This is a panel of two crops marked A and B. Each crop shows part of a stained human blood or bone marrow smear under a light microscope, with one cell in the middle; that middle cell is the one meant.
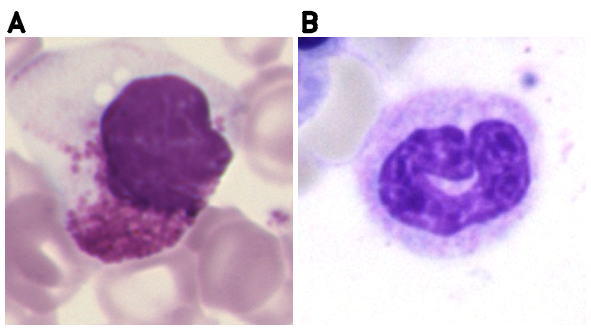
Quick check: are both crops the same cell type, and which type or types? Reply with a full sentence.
No, a segmented neutrophil is depicted in crop B, whereas an eosinophil is depicted in crop A.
